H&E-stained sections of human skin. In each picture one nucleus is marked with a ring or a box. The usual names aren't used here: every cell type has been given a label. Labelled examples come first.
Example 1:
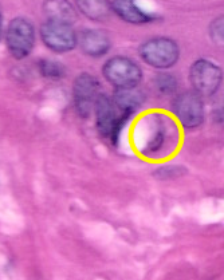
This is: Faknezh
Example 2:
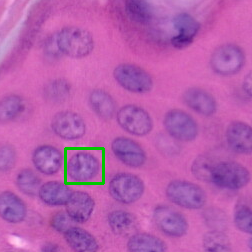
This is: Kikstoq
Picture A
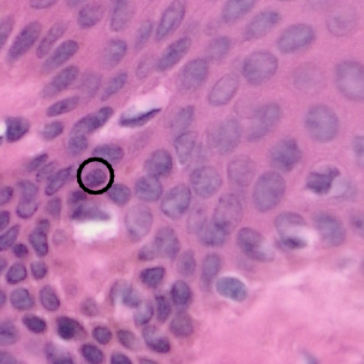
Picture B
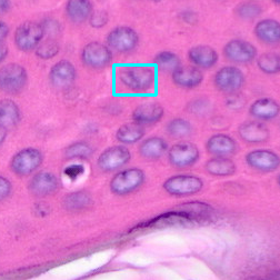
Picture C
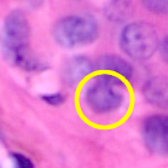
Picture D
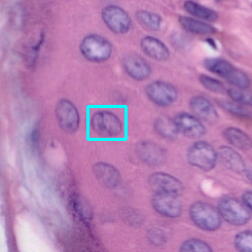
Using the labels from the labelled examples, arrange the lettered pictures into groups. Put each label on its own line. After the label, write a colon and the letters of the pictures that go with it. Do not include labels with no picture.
Faknezh: A, C
Kikstoq: B, D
